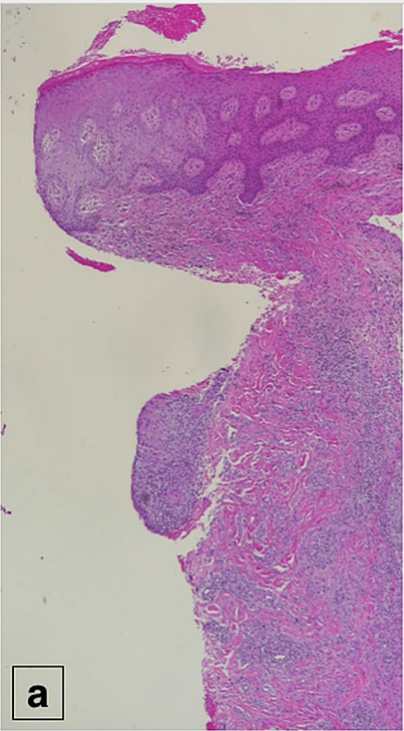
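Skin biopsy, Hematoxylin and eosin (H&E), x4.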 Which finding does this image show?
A: Hyperplastic epidermis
